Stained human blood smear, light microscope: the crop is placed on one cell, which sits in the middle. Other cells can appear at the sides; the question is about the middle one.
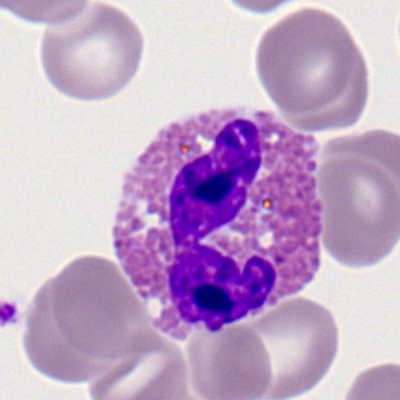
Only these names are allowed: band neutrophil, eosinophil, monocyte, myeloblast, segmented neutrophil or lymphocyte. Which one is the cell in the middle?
eosinophil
